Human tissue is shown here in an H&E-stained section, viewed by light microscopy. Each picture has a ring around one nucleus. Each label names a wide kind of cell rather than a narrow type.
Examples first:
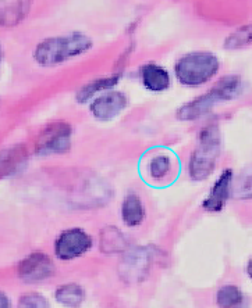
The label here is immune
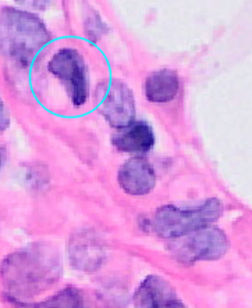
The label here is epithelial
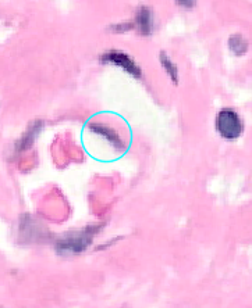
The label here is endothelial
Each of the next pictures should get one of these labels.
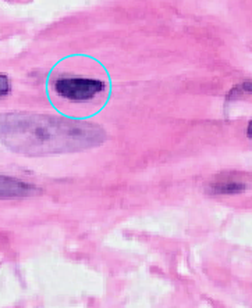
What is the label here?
immune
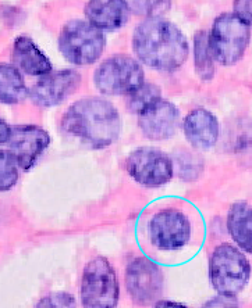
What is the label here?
epithelial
